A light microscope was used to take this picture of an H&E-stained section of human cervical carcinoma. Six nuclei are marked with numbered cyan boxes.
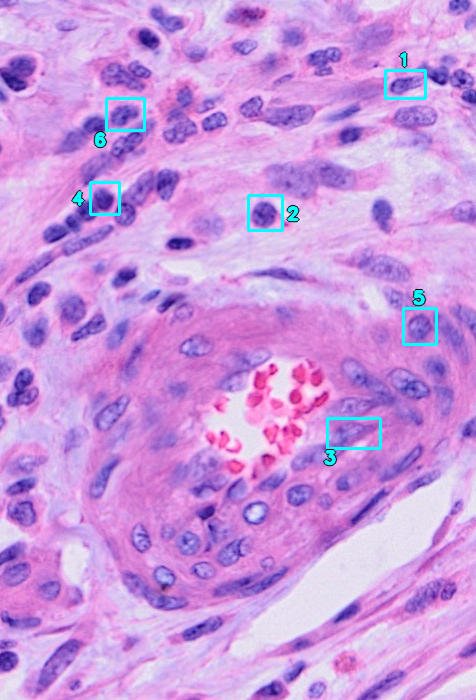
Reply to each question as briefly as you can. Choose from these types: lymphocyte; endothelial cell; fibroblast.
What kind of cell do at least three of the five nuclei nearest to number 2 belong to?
fibroblast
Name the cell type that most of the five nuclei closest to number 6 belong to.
lymphocyte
